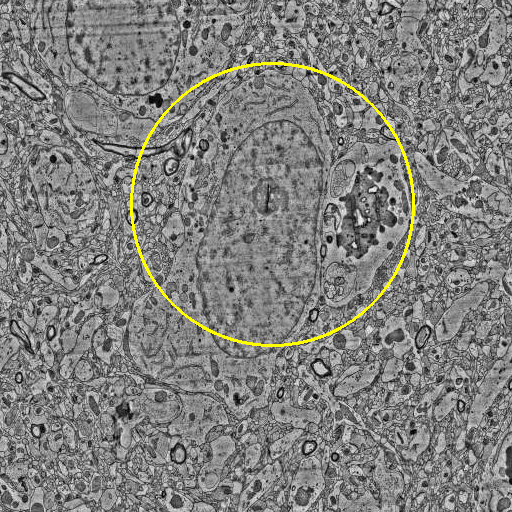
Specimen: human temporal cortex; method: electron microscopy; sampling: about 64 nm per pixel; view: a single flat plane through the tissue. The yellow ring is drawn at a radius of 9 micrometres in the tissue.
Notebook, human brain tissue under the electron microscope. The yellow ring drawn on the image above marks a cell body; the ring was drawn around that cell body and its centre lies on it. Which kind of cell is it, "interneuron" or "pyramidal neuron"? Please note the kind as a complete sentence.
The marked cell body is that of an interneuron.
